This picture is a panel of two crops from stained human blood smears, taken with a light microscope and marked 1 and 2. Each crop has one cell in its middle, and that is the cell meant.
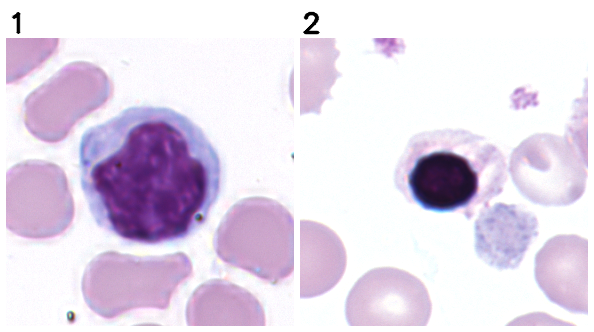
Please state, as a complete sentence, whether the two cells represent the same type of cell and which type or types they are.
No, the cell of interest in crop 1 is a plasma cell, and in crop 2 it is an erythroblast.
